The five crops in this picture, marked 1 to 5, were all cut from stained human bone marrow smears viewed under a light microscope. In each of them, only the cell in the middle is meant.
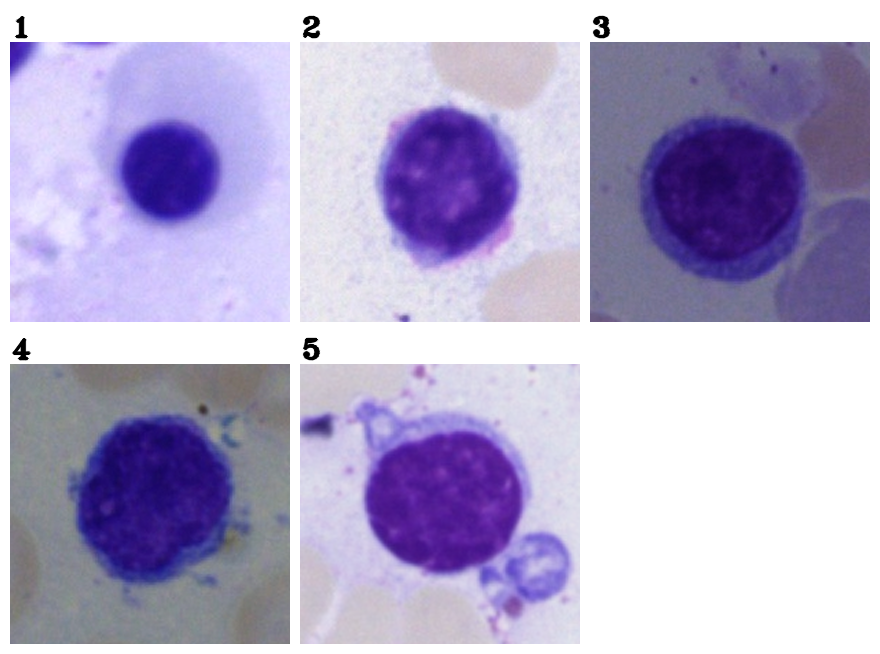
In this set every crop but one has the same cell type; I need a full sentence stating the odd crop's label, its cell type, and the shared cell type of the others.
Crop 1 does not match the others; it shows an erythroblast, and they show lymphocytes.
